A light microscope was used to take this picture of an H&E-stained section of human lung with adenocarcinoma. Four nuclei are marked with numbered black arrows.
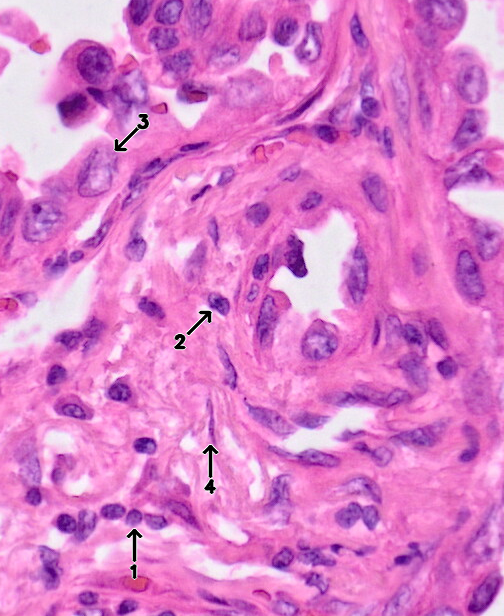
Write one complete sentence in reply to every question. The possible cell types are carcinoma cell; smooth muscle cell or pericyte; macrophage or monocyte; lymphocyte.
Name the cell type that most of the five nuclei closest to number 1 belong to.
Of the five nuclei nearest to number 1, most belong to macrophages or monocytes.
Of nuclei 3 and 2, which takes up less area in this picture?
Number 2 is smaller, since number 3 takes up about 4 times as much area.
